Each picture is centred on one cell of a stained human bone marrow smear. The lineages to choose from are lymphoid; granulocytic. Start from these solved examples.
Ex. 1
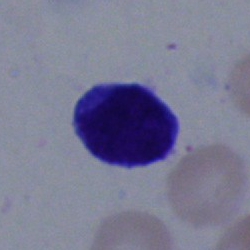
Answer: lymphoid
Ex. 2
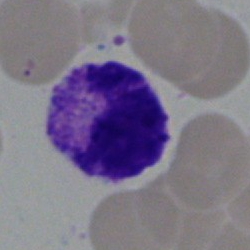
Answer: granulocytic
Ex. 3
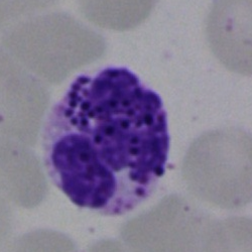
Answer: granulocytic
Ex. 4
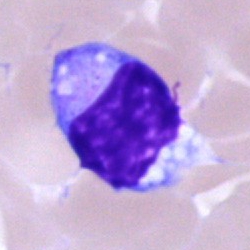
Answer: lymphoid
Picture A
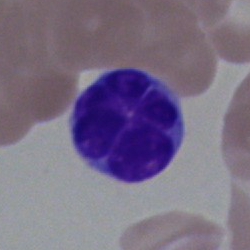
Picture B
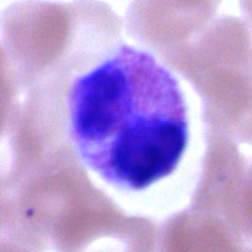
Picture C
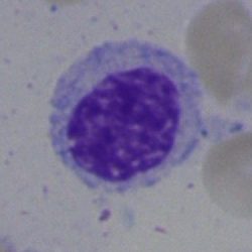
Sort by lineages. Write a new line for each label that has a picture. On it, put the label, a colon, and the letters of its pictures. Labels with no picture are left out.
lymphoid: A
granulocytic: B, C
